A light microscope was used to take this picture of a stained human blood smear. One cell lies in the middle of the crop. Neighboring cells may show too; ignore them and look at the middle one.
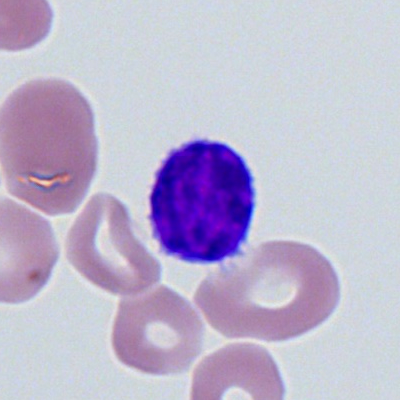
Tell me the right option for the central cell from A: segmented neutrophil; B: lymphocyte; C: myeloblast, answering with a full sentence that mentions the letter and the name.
Occupying the middle of the crop is a lymphocyte, hence option B is correct.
